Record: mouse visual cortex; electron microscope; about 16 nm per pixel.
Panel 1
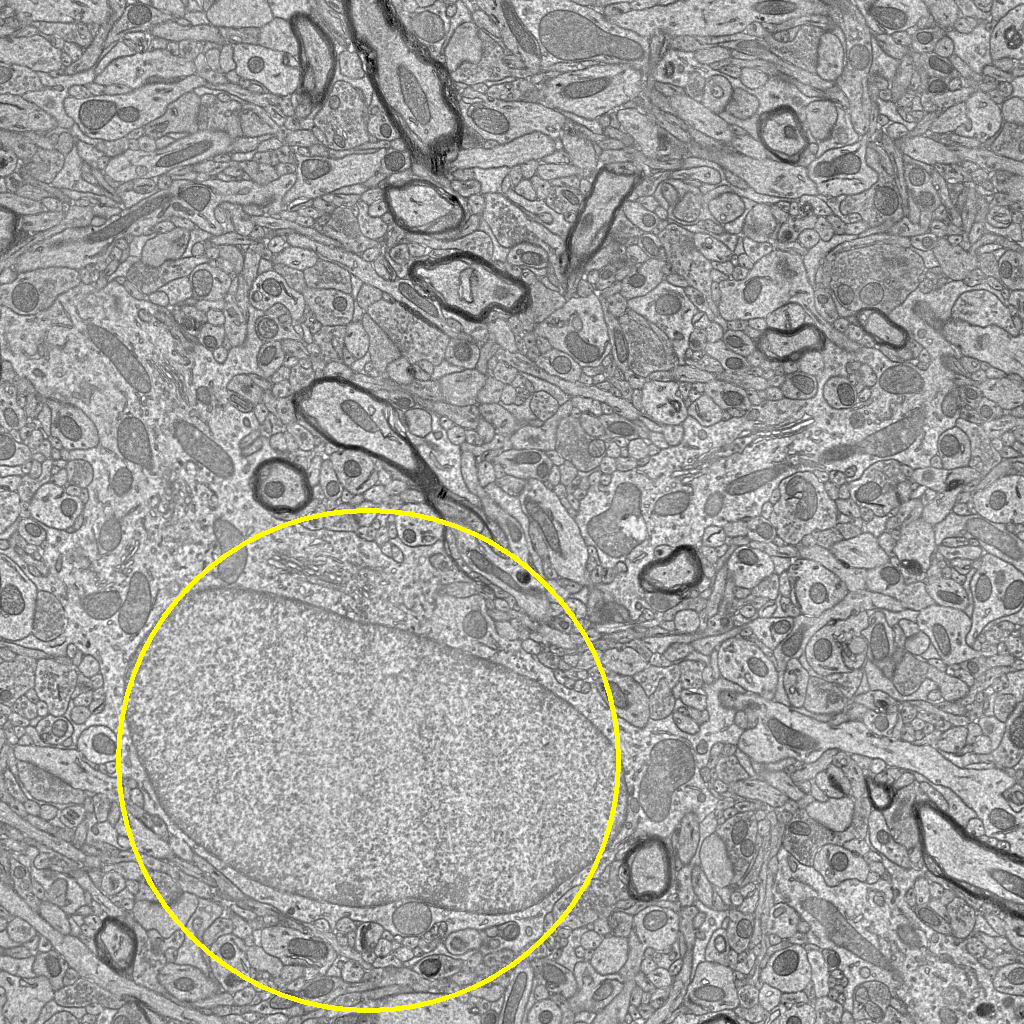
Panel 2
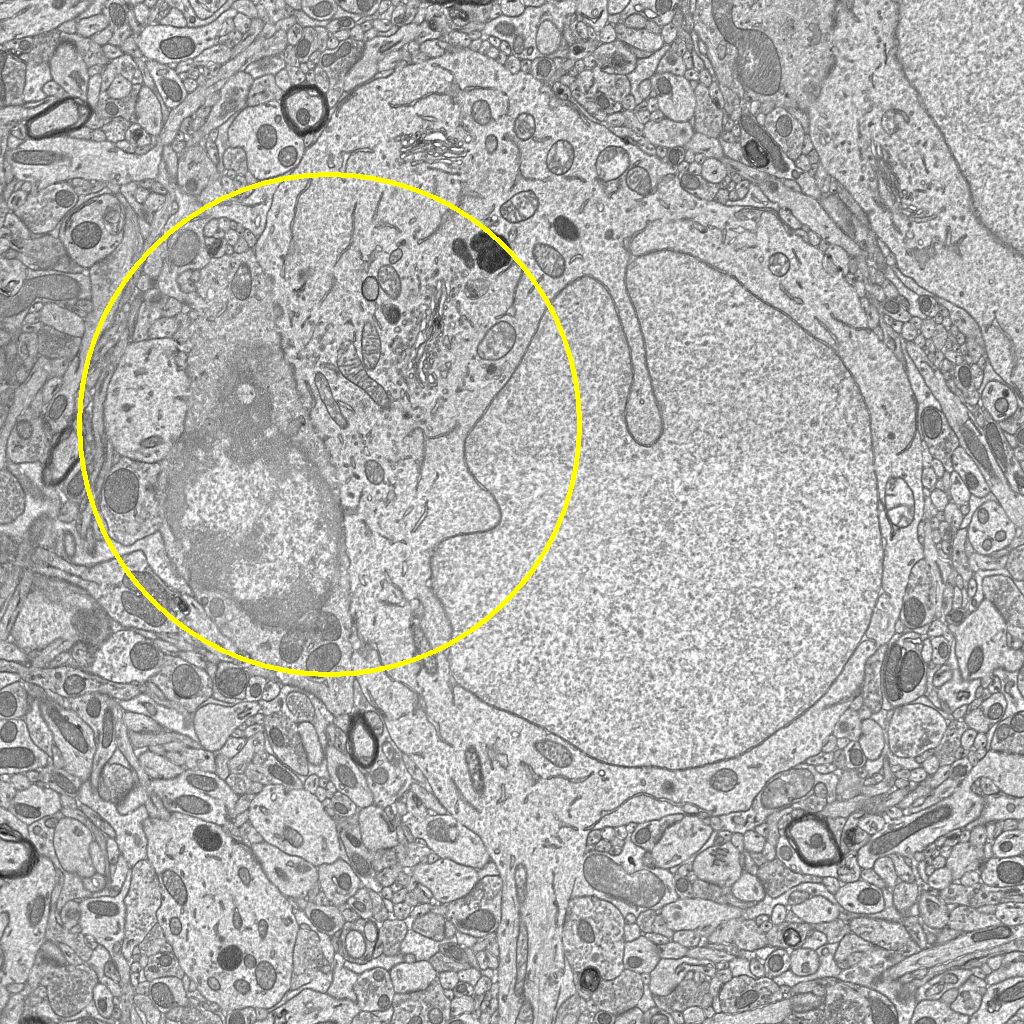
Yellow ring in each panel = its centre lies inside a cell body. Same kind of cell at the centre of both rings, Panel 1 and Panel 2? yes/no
no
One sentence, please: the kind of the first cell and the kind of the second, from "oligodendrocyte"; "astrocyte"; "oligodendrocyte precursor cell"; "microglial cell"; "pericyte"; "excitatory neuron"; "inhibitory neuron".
The first picture has an astrocyte in its ring, the second has an oligodendrocyte.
